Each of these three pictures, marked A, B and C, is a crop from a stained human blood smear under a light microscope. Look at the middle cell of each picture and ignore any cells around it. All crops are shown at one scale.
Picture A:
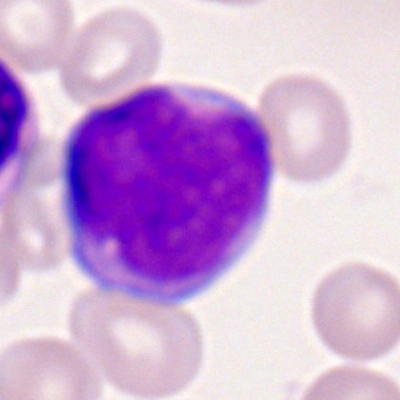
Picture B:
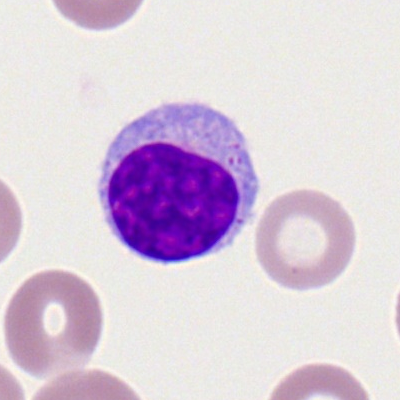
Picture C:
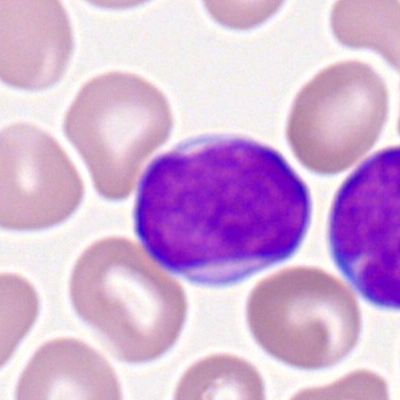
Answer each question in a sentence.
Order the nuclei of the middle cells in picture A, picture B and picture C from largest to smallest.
Going down, they run A, C, B.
